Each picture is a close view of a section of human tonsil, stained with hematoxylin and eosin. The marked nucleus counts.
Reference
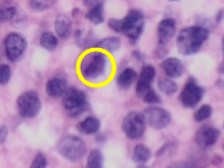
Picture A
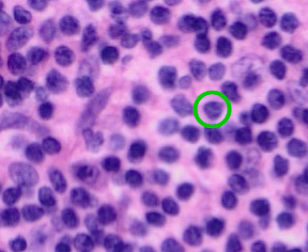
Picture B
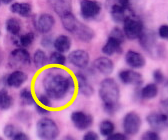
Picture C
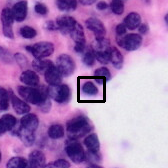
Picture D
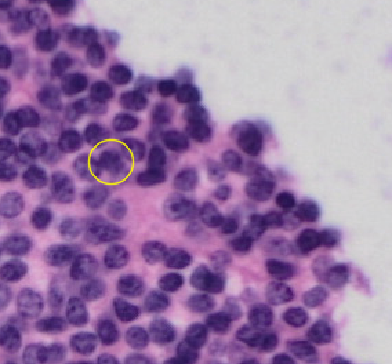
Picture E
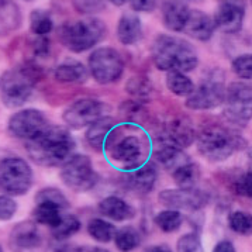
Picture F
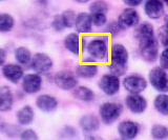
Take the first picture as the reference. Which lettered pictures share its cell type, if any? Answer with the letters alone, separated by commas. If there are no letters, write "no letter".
B, E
